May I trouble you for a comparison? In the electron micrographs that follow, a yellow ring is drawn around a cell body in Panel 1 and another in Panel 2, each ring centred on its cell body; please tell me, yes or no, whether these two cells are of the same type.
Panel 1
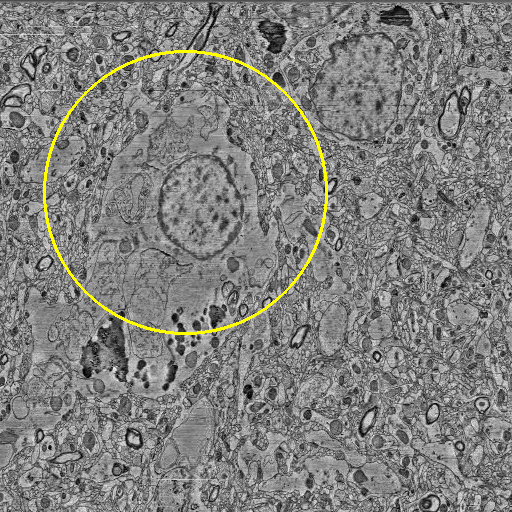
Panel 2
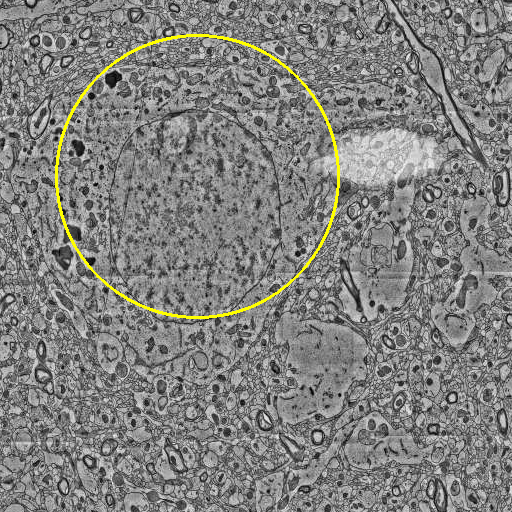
no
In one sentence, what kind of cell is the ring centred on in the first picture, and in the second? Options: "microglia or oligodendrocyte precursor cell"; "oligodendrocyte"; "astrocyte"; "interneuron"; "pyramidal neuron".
The cell at the centre of the second ring is a pyramidal neuron; the first ring's cell is an astrocyte.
